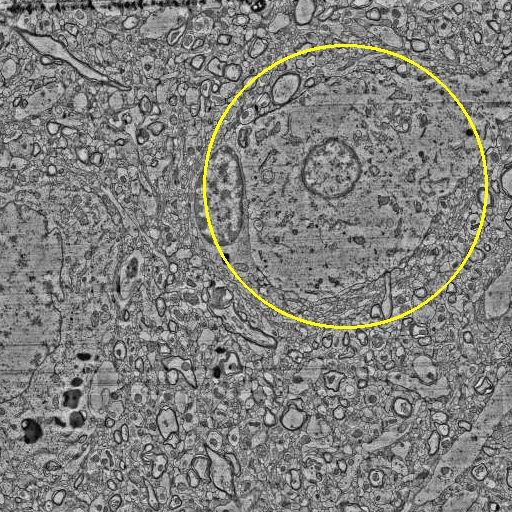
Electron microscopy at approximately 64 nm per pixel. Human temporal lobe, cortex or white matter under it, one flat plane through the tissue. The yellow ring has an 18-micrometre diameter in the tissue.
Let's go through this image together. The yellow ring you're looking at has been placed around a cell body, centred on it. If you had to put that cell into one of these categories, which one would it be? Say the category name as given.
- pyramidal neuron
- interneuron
pyramidal neuron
